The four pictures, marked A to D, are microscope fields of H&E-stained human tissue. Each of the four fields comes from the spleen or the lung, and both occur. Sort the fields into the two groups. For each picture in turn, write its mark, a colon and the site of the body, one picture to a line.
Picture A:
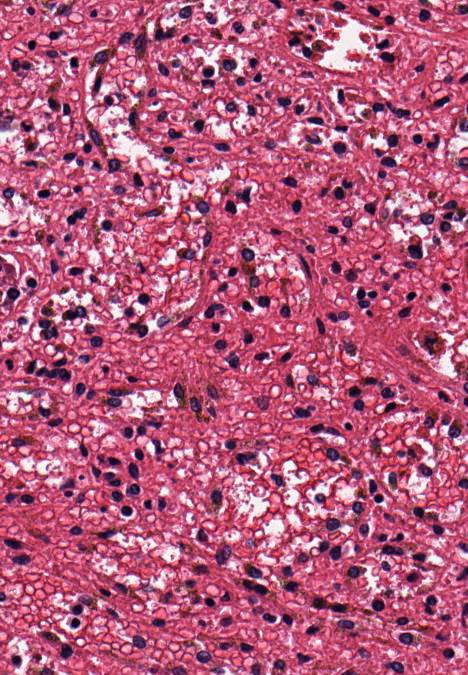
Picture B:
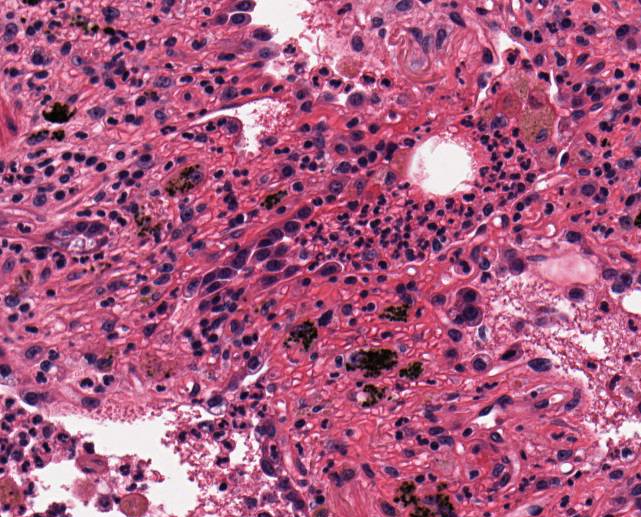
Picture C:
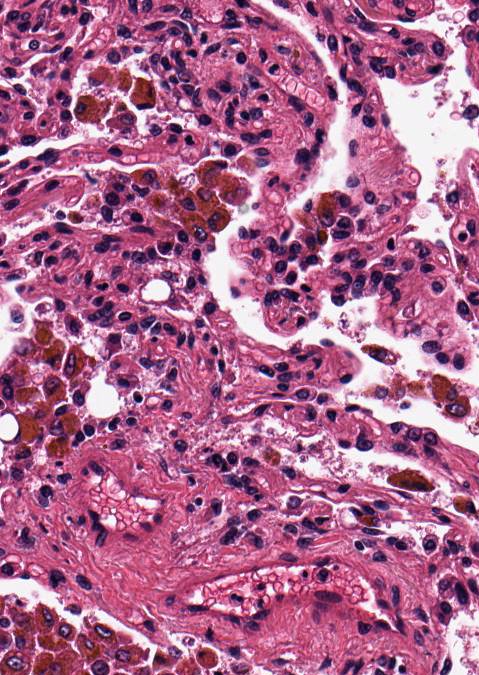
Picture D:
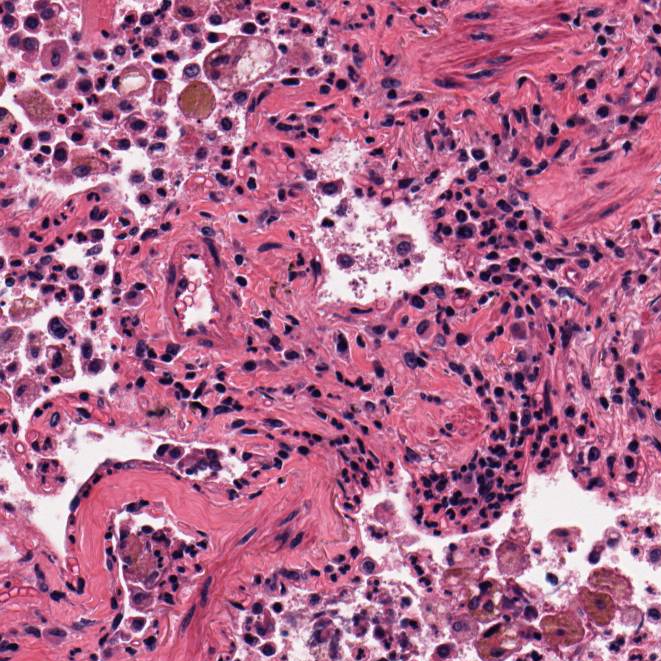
A: spleen
B: lung
C: lung
D: lung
